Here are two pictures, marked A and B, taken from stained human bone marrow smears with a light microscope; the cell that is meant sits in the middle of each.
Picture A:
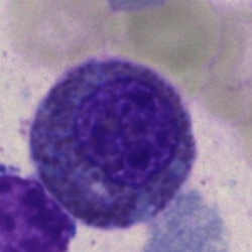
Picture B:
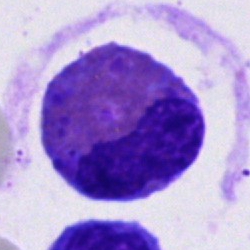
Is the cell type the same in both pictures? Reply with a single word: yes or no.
yes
